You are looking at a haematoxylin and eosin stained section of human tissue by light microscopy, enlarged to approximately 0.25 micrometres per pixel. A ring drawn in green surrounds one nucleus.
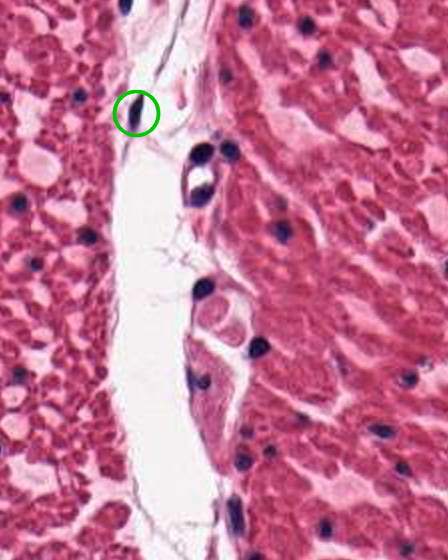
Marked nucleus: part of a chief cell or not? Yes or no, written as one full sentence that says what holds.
No, the cell bearing the marked nucleus is not a chief cell but a supporting cell.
